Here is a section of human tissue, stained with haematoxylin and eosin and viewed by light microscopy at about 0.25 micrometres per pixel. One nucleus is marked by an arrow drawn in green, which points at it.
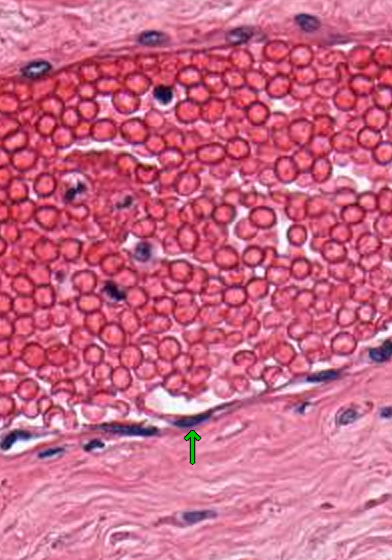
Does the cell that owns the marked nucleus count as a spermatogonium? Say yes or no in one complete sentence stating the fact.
No, rather than to a spermatogonium, the marked nucleus belongs to a supporting cell.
